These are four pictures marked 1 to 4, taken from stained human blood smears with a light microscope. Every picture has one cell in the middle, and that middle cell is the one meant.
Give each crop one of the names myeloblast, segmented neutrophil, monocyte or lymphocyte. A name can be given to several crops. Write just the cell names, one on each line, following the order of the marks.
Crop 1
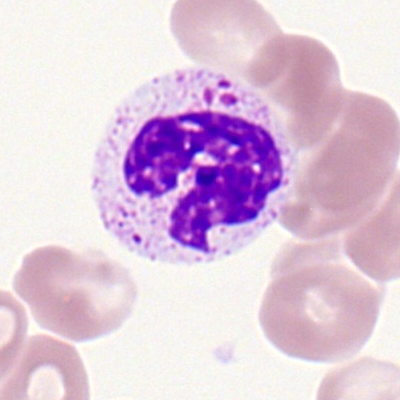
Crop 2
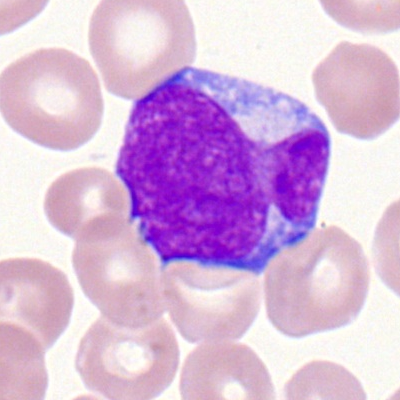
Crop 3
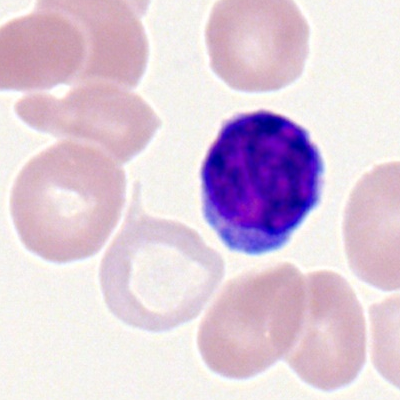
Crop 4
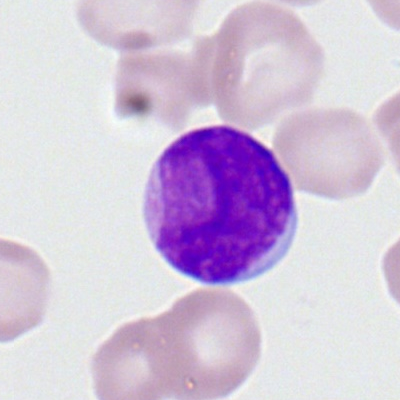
segmented neutrophil
myeloblast
lymphocyte
myeloblast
